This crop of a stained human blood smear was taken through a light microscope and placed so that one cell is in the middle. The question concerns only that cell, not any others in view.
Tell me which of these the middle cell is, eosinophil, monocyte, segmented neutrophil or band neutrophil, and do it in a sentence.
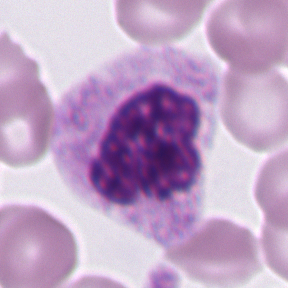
The cell sitting right in the middle is a segmented neutrophil.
